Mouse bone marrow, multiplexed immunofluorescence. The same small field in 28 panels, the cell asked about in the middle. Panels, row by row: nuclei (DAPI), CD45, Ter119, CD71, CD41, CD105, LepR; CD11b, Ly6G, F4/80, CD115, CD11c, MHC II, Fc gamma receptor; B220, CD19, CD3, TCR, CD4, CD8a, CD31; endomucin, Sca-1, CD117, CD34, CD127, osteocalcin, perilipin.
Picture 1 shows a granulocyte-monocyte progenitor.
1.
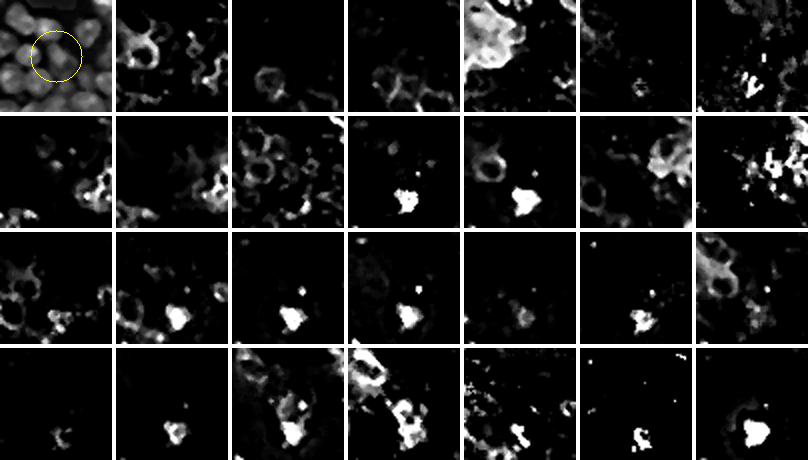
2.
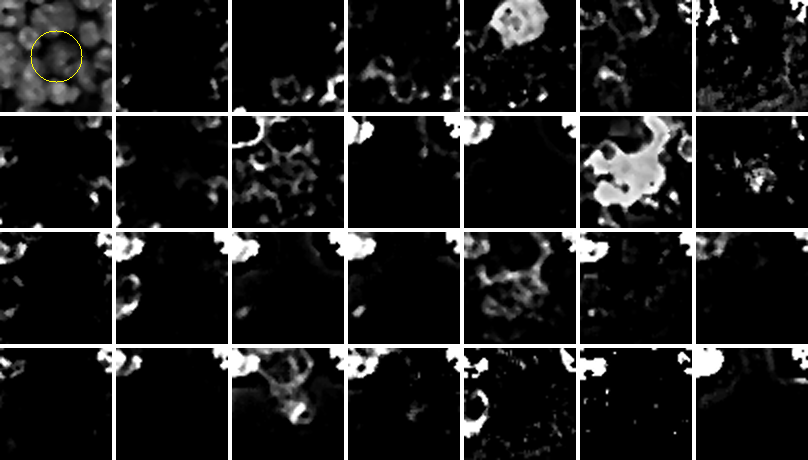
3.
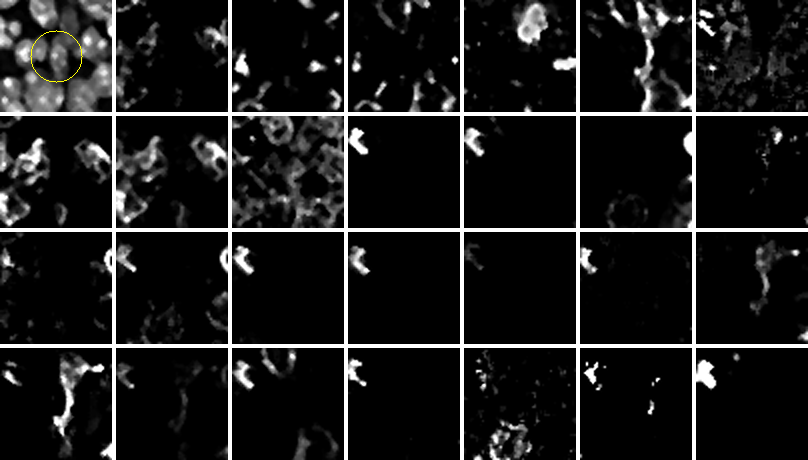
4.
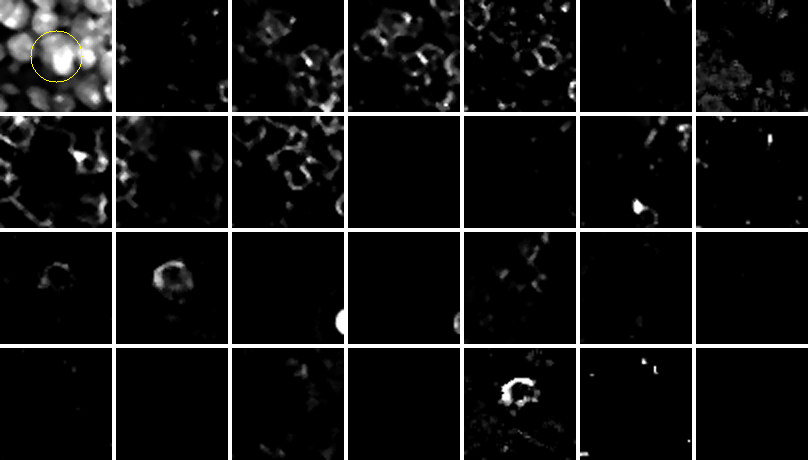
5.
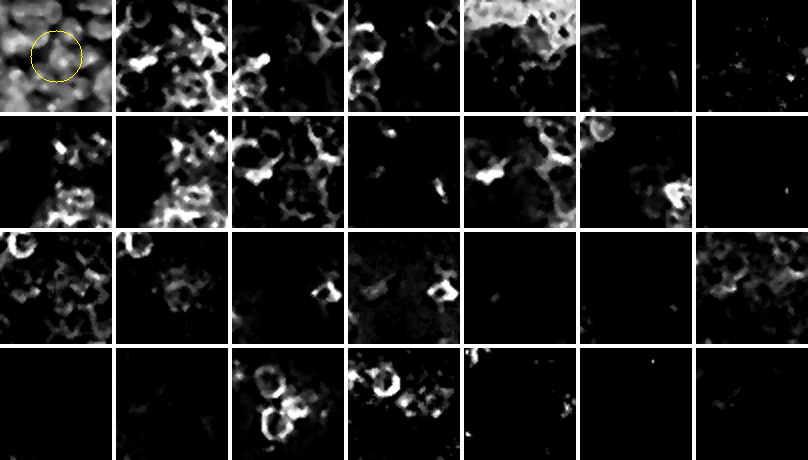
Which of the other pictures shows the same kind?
Picture 2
